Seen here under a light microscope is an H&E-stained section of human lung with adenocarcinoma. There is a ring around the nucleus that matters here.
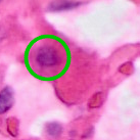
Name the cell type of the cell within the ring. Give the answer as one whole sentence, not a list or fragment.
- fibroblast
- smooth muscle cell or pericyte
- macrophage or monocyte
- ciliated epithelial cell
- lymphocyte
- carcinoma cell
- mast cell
In this tissue sample, the cell within the ring is a macrophage or monocyte.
